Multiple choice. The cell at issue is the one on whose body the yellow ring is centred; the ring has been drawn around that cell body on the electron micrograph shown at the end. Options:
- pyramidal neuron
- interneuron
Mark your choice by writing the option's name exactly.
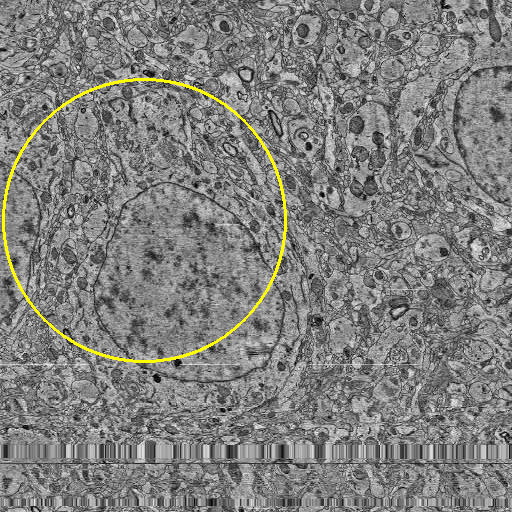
pyramidal neuron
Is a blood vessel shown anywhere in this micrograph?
No.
